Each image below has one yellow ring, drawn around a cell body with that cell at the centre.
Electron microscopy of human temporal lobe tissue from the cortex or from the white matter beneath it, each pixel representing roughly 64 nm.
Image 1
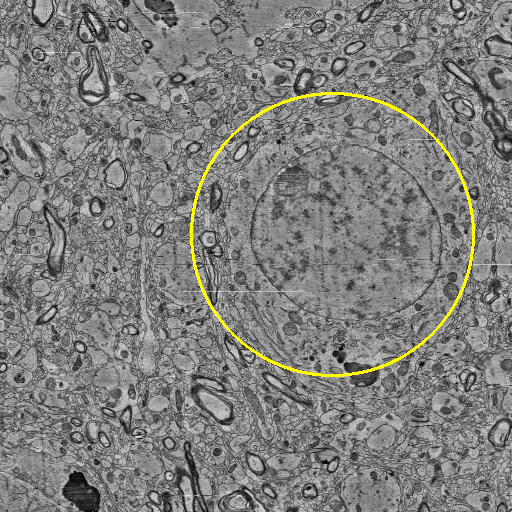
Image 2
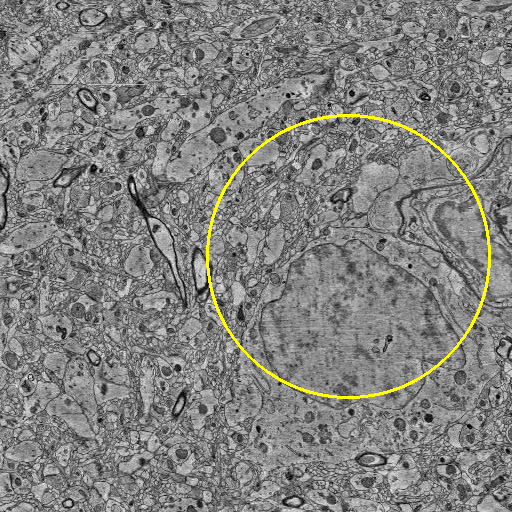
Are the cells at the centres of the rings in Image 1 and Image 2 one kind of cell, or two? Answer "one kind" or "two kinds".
one kind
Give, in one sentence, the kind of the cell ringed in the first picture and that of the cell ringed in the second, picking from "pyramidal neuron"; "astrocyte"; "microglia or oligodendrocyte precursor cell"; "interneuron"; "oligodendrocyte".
Each of the ringed cells, first and second, is an interneuron.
